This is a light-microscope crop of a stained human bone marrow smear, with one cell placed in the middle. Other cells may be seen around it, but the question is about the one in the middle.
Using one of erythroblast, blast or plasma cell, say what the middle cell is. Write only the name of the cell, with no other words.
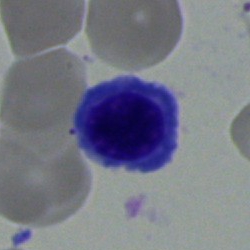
erythroblast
